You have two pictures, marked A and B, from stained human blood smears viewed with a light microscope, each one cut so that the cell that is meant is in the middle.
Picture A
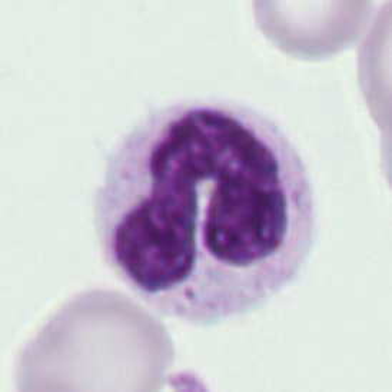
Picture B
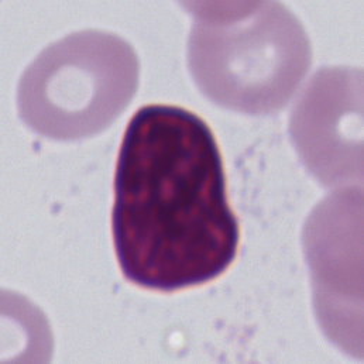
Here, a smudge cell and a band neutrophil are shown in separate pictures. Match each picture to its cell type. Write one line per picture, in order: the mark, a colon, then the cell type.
A: band neutrophil
B: smudge cell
